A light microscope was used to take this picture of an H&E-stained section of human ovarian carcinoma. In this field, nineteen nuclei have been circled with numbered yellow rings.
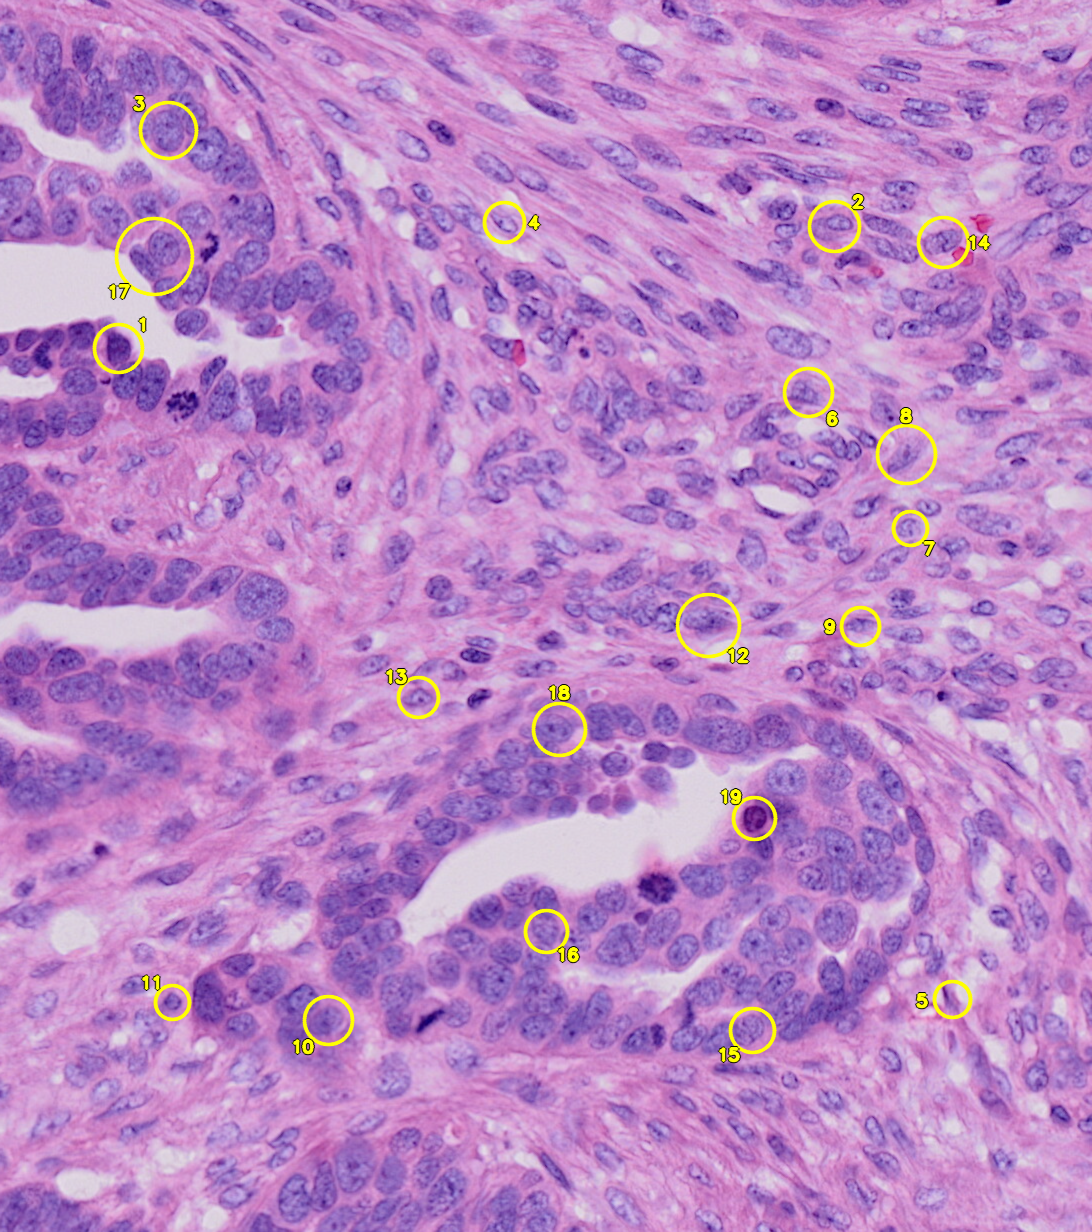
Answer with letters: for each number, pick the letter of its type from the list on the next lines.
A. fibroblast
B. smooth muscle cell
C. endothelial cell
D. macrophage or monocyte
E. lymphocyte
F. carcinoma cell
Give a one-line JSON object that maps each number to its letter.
{"1": "F", "2": "C", "3": "F", "4": "A", "5": "A", "6": "A", "7": "A", "8": "A", "9": "A", "10": "F", "11": "D", "12": "A", "13": "A", "14": "C", "15": "F", "16": "F", "17": "F", "18": "F", "19": "F"}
